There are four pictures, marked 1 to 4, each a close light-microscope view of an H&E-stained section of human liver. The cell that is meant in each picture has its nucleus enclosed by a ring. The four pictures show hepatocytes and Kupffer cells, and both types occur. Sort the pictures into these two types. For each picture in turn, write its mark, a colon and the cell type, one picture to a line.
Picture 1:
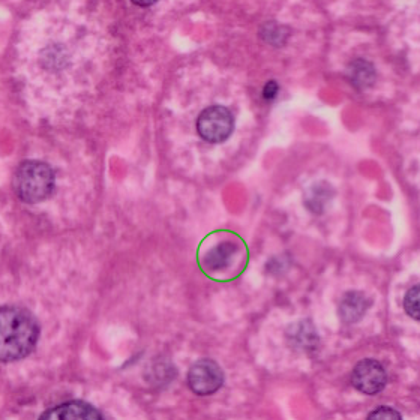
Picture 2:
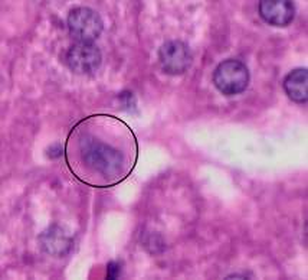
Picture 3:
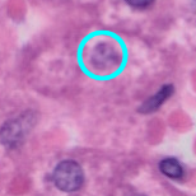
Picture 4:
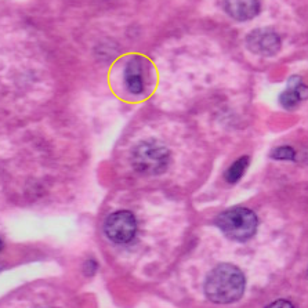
1: Kupffer cell
2: Kupffer cell
3: hepatocyte
4: Kupffer cell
